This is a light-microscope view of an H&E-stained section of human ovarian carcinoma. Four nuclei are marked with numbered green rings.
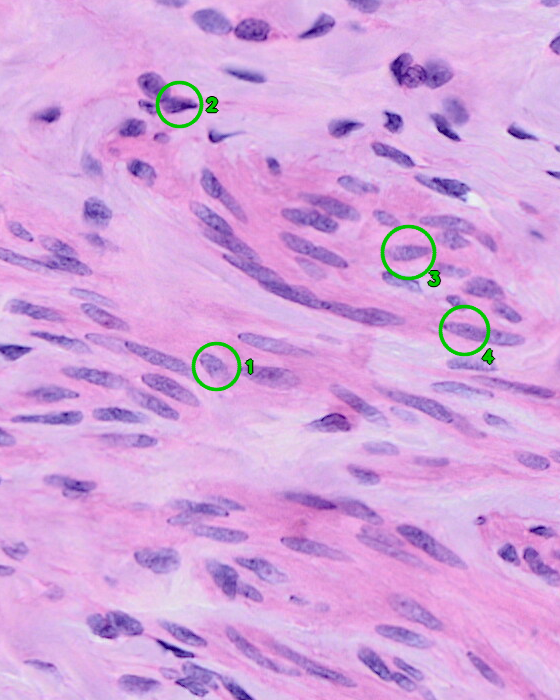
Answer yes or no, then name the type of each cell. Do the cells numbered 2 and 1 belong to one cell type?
No: cell 2 is an endothelial cell, while cell 1 is a smooth muscle cell.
